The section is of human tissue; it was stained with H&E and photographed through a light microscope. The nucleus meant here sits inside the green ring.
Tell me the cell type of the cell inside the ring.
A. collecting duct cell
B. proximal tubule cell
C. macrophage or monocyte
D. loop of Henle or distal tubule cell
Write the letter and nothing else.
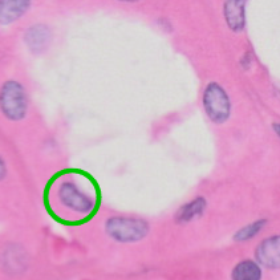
D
